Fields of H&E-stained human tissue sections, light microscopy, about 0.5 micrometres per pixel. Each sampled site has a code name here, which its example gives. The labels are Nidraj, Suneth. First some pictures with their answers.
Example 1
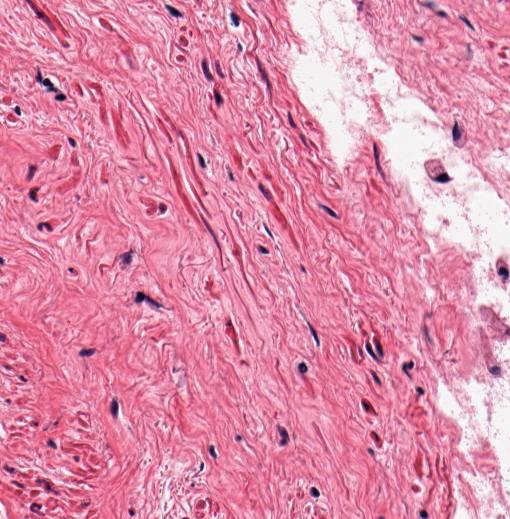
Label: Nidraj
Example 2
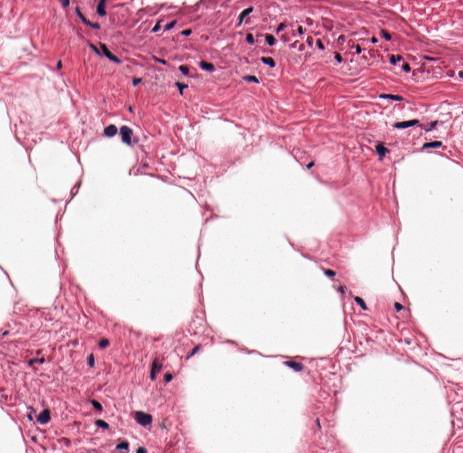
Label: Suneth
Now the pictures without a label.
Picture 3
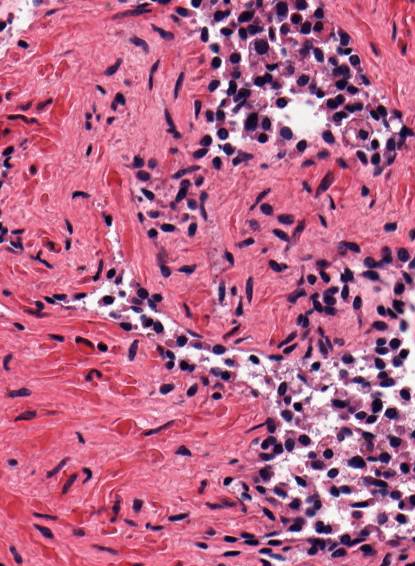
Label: Nidraj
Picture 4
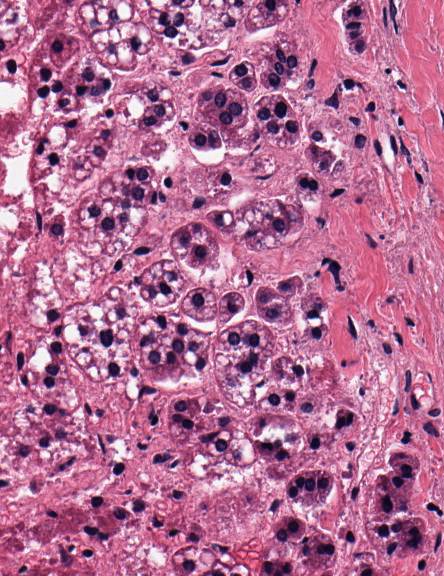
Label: Suneth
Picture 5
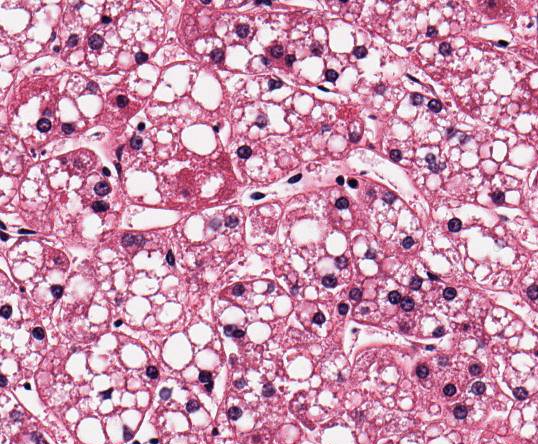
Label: Suneth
